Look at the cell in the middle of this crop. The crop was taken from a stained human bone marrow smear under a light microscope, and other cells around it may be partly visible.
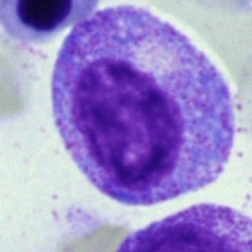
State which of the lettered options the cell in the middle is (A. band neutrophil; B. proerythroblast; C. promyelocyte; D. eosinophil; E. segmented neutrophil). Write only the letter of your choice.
C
